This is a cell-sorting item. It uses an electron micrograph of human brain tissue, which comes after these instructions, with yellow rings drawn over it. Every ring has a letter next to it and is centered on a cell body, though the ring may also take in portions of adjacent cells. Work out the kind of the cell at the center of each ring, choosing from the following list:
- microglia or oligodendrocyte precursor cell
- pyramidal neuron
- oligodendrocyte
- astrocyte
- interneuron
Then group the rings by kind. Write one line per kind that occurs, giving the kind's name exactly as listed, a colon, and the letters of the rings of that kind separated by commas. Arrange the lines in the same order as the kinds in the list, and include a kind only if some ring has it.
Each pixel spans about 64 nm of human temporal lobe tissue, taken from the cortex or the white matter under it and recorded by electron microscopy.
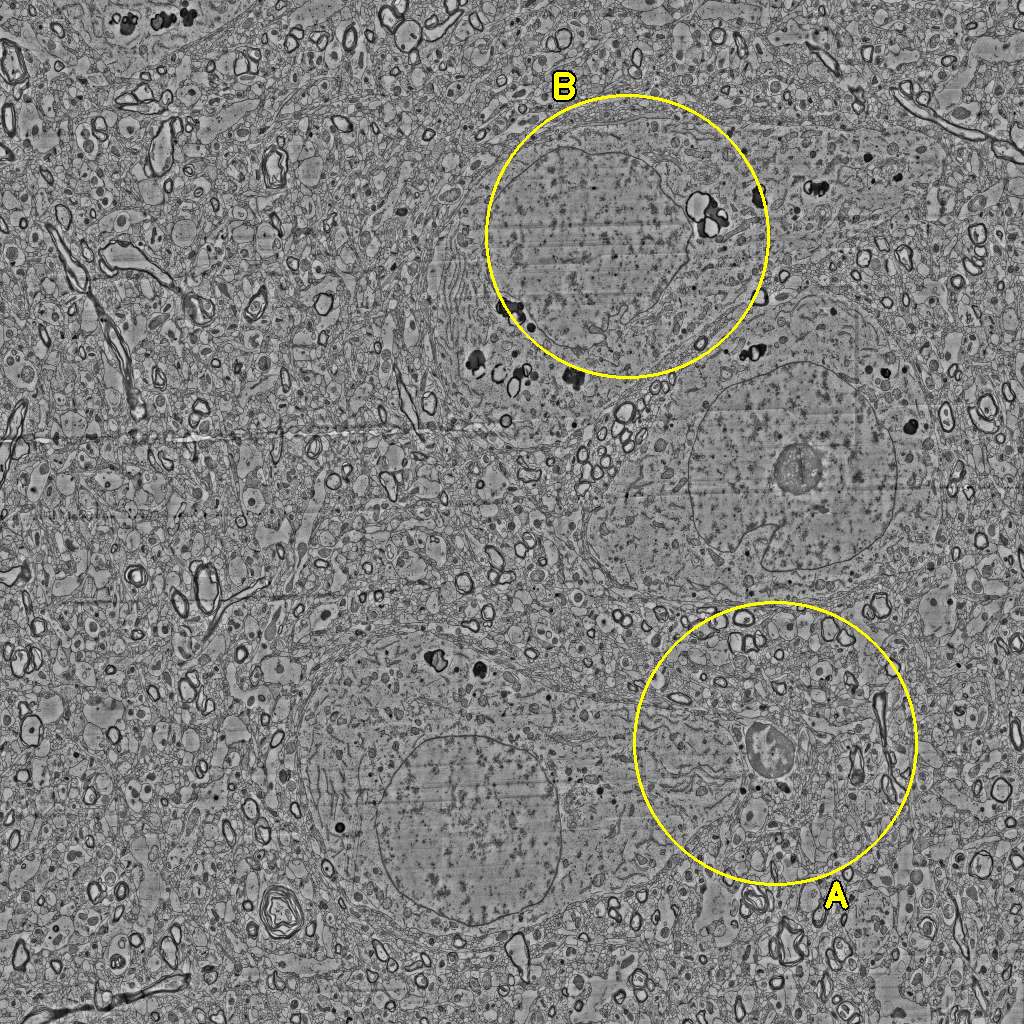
microglia or oligodendrocyte precursor cell: A
pyramidal neuron: B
